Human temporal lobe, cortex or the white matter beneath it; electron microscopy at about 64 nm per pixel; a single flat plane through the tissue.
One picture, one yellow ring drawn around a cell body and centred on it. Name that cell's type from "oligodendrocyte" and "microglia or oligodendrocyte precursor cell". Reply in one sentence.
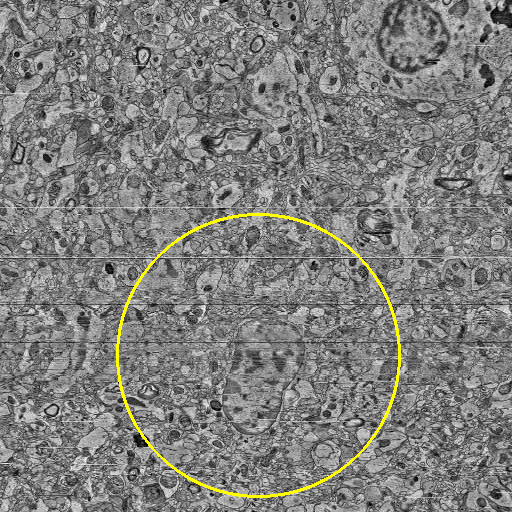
Centred in the ring is a microglial cell or oligodendrocyte precursor cell.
